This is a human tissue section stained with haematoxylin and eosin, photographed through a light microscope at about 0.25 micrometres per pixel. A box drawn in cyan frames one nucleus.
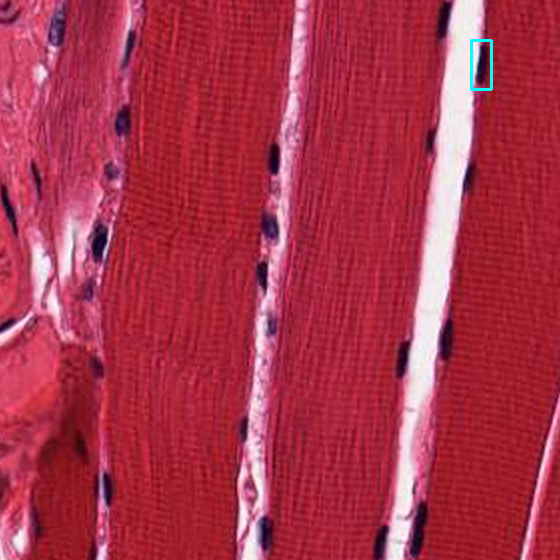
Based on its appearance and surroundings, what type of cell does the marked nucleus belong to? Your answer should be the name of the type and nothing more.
skeletal muscle fibre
